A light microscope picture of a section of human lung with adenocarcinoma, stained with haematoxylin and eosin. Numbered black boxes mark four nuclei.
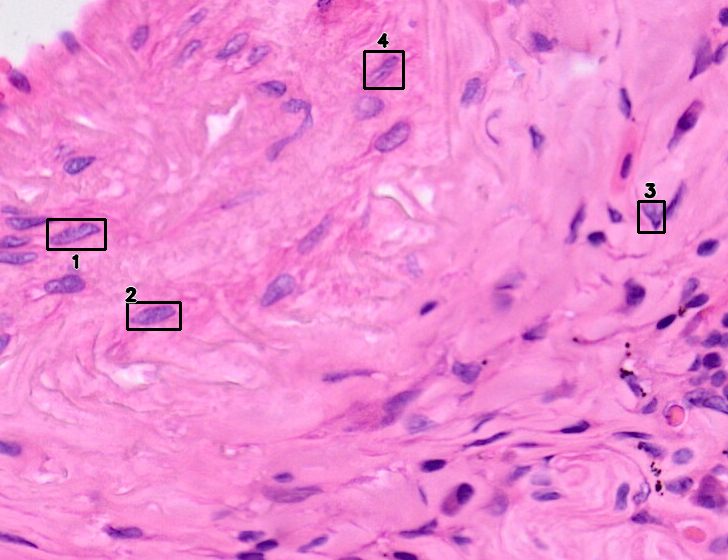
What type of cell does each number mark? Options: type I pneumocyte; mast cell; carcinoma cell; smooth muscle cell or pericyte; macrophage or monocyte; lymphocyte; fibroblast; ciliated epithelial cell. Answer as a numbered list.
1. smooth muscle cell or pericyte
2. smooth muscle cell or pericyte
3. fibroblast
4. smooth muscle cell or pericyte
